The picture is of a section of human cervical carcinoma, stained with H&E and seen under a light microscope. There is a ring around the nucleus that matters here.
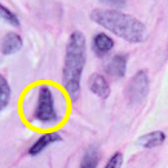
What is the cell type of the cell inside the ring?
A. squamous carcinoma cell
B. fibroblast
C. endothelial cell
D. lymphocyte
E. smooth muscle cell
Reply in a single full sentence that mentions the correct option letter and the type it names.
Here the correct option is B, since the cell inside the ring is a fibroblast.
